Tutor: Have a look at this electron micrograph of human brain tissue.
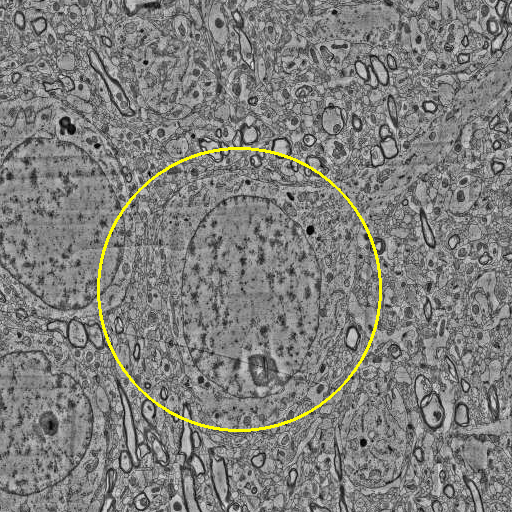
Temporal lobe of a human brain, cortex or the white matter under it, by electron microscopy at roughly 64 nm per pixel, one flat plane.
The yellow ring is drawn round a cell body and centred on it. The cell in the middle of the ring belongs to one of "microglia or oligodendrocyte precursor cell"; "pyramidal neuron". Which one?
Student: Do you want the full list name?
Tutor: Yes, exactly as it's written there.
pyramidal neuron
